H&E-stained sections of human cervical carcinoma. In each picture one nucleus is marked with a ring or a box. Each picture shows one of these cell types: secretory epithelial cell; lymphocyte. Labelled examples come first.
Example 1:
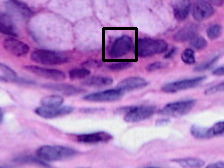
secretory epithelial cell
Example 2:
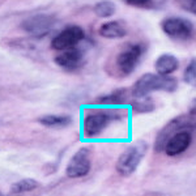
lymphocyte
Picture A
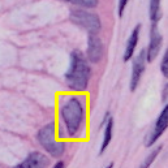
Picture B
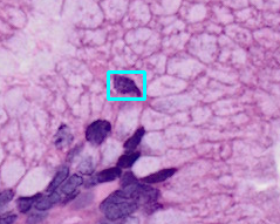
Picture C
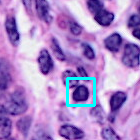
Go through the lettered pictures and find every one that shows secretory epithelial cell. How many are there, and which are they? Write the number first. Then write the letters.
2, namely A, B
